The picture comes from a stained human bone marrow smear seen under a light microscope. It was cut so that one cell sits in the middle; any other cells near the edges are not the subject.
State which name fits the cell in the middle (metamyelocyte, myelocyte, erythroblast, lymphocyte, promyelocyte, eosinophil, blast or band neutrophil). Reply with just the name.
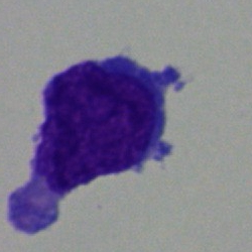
blast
